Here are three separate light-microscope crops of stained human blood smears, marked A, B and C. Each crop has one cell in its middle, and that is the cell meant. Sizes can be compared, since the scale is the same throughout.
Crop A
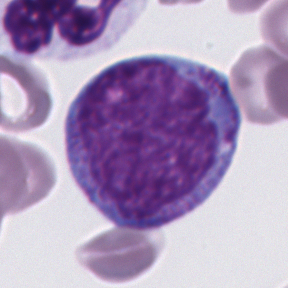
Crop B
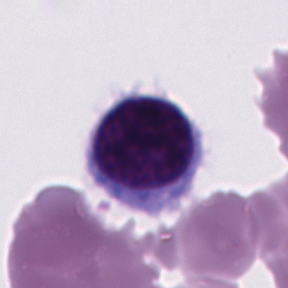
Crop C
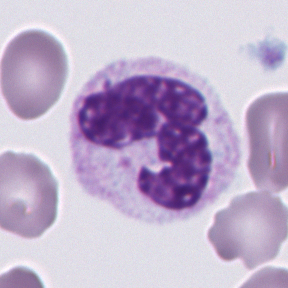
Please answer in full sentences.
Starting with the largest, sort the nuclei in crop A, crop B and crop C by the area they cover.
Going down, they run A, C, B.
